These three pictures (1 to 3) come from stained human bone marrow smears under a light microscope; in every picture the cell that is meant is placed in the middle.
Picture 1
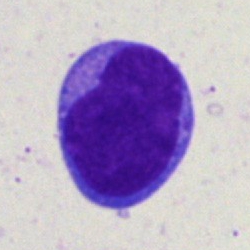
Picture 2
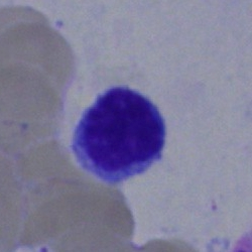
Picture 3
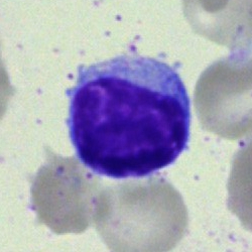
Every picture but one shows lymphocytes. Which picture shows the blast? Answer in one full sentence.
The picture with the blast is 1.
